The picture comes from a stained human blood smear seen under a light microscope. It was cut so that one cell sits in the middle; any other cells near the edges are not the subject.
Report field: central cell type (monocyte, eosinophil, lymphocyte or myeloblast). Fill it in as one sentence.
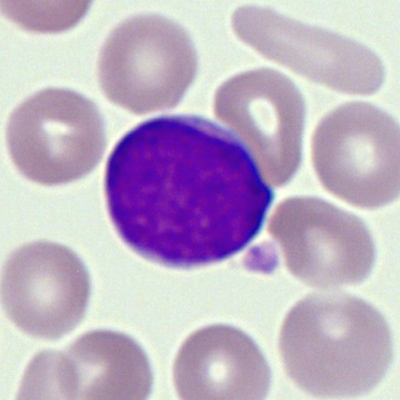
The cell featured at the centre of this crop is a myeloblast.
